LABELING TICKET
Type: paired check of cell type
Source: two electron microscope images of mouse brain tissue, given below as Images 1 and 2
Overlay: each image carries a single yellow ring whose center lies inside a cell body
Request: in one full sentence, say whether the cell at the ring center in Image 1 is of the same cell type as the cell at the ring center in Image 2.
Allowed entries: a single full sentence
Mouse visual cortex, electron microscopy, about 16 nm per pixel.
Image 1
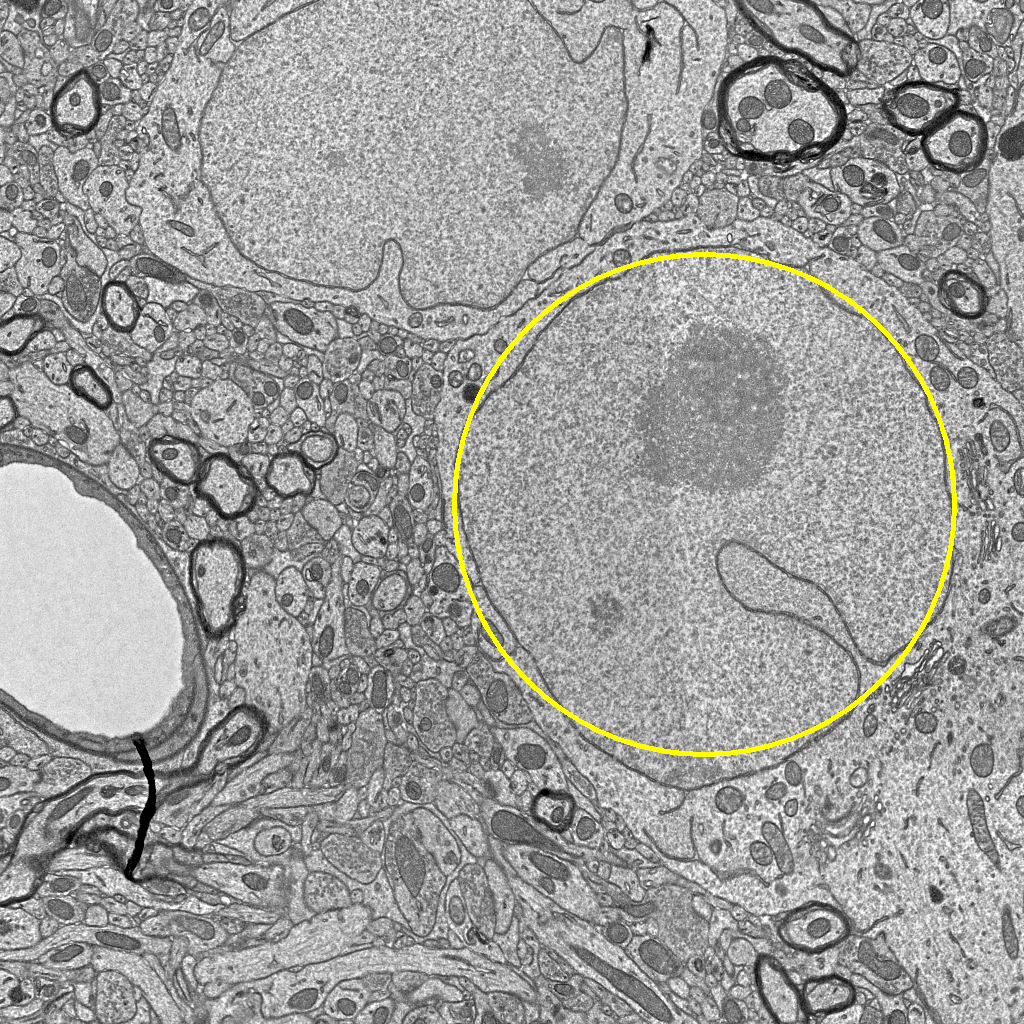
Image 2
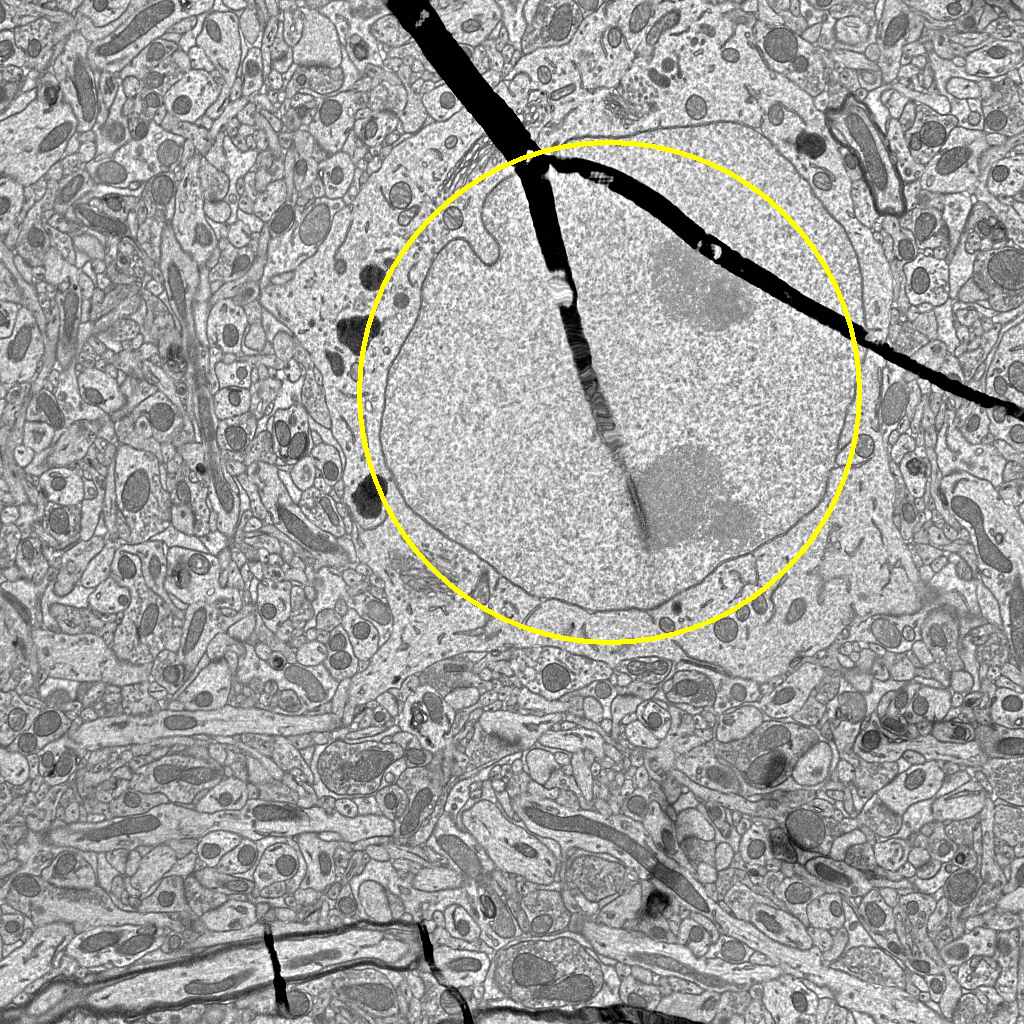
Yes, the cells at the ring centers of Image 1 and Image 2 share one type.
